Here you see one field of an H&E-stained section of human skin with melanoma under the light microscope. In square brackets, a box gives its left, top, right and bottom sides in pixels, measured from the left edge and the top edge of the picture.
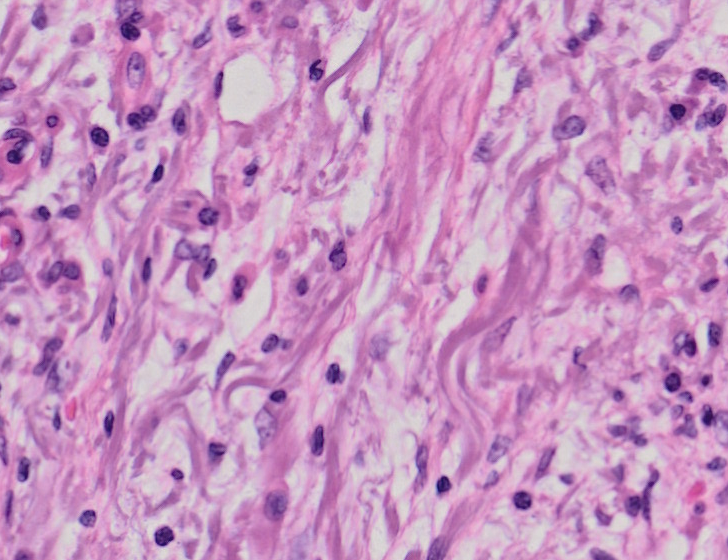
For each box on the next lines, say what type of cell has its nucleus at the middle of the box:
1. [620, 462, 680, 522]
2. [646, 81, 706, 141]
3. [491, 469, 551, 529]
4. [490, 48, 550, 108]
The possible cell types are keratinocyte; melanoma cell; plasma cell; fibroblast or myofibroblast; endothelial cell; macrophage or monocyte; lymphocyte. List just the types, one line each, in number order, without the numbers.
fibroblast or myofibroblast
plasma cell
plasma cell
fibroblast or myofibroblast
